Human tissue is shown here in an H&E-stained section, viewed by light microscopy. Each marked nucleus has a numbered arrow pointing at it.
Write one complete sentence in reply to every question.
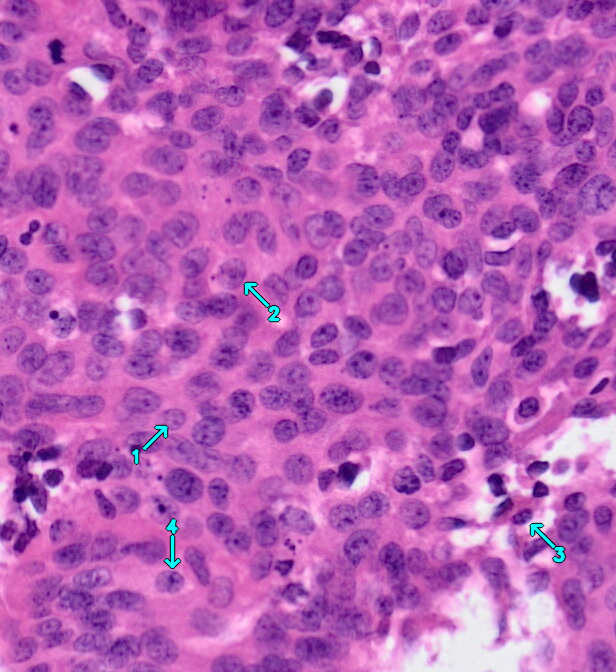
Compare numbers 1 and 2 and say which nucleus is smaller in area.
Number 1 is smaller, since number 2 takes up about 1.5 times as much area.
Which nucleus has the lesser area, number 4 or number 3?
With nucleus 4 about 2 times its size, nucleus 3 is the smaller of the two.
